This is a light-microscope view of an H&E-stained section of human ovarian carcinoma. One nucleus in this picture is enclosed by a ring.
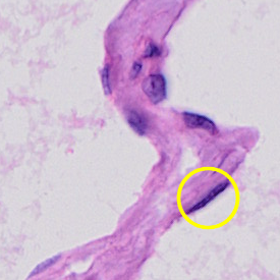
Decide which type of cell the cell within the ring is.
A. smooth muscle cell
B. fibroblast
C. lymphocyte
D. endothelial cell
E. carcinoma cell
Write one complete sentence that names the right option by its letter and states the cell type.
Option D is correct; the cell within the ring is an endothelial cell.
